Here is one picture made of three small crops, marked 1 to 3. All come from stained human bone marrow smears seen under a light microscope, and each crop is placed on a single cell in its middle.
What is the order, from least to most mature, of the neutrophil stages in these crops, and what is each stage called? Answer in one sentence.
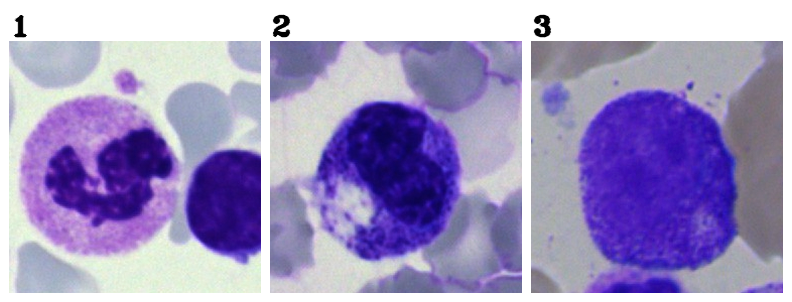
Ranked by maturation stage, earliest first, the crops read crop 3 (a promyelocyte), crop 2 (a metamyelocyte) and crop 1 (a segmented neutrophil).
